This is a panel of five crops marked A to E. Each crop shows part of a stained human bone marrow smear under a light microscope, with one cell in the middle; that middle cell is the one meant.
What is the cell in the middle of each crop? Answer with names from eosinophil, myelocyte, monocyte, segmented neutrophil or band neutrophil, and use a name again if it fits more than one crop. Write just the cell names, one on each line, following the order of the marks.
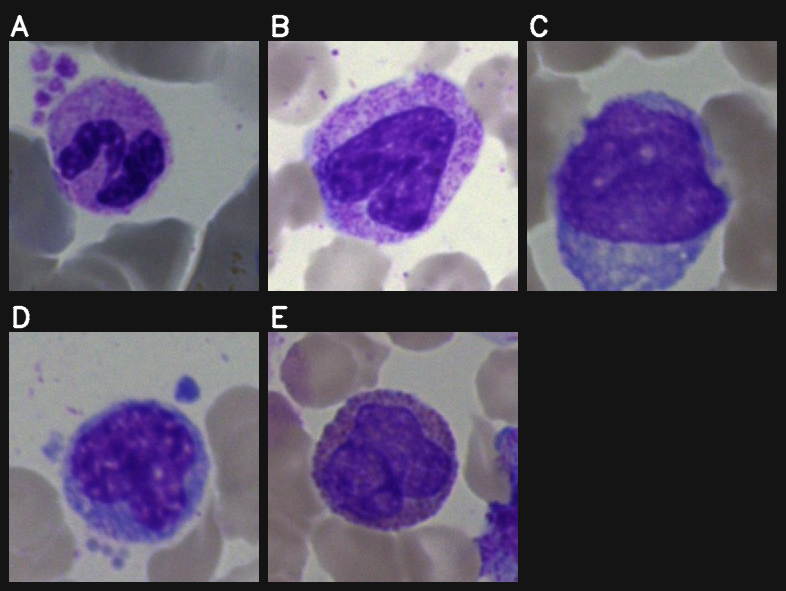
segmented neutrophil
band neutrophil
monocyte
monocyte
eosinophil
